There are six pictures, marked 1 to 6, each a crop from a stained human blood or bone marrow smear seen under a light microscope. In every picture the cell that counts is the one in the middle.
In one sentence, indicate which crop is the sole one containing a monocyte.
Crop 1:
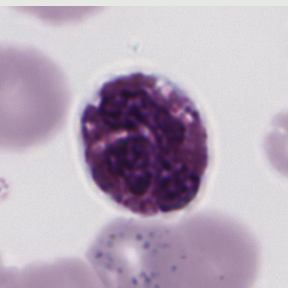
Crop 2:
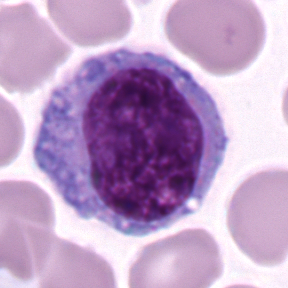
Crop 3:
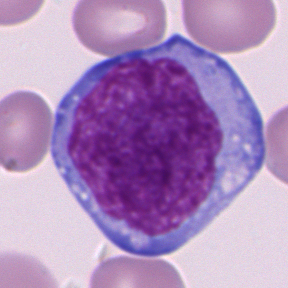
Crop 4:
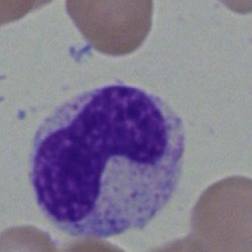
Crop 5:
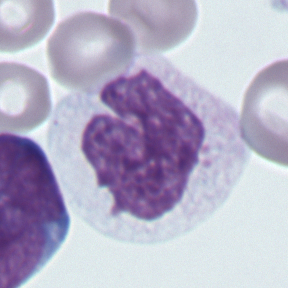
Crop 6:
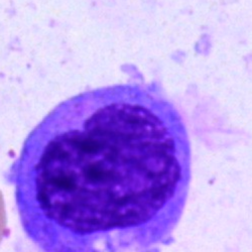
The requested cell, a monocyte, is the one in crop 6.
